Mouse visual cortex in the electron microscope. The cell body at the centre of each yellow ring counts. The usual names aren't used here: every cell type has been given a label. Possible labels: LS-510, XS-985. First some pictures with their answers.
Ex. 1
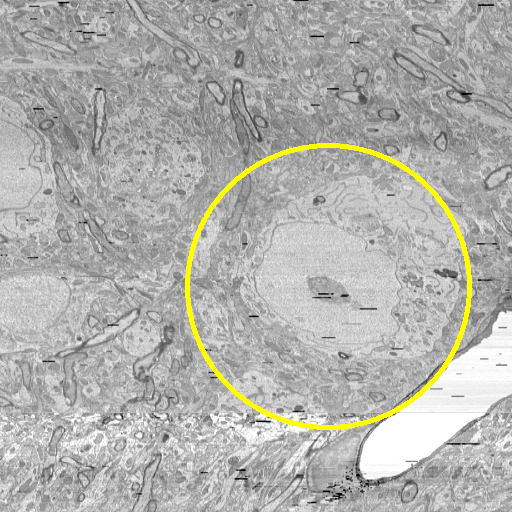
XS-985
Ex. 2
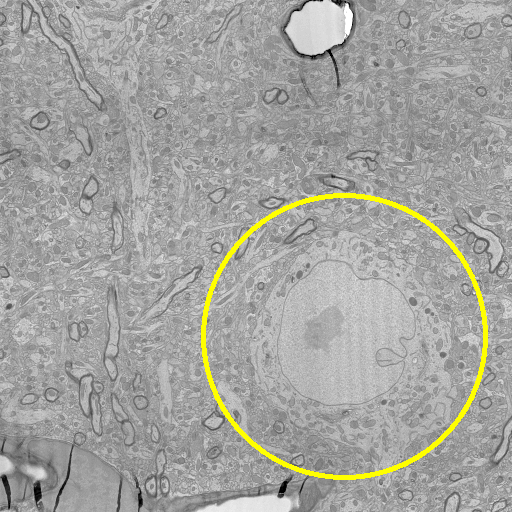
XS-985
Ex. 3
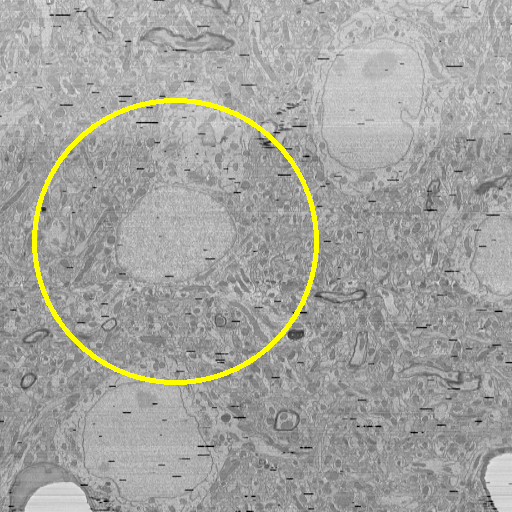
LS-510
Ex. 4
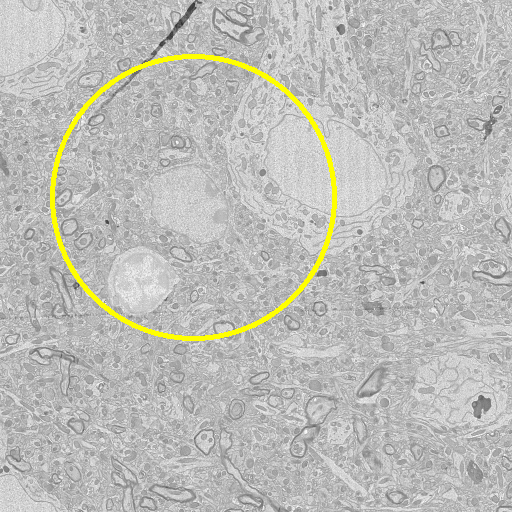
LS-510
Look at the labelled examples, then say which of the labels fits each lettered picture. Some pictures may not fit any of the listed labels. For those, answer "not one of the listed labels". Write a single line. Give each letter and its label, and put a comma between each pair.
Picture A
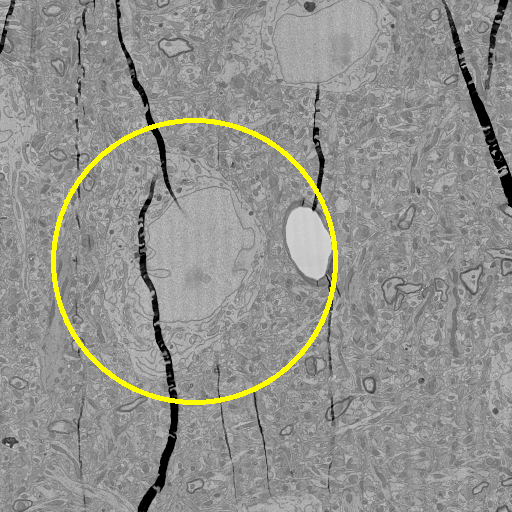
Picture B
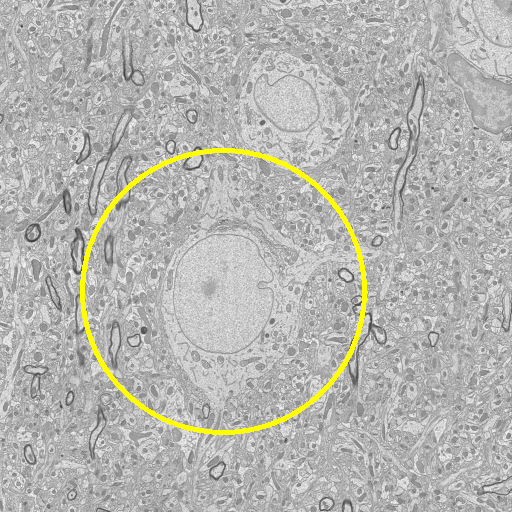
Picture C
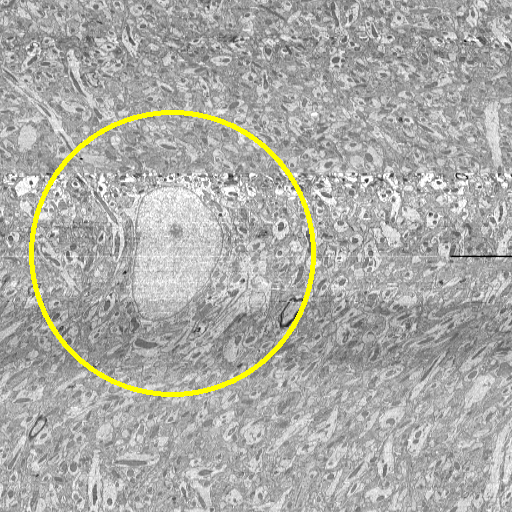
A not one of the listed labels, B XS-985, C LS-510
